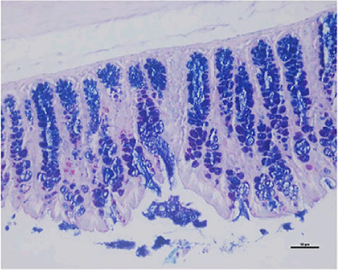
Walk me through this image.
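This is colonic mucosa with long, straight crypts running in parallel, cut lengthwise. The crypt epithelium is crowded with goblet cells whose rounded, cup-shaped cytoplasm is filled with deep blue-staining mucin. Between the crypts lies a thin, pale lamina propria, and blue-staining mucus material lies along the luminal surface.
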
